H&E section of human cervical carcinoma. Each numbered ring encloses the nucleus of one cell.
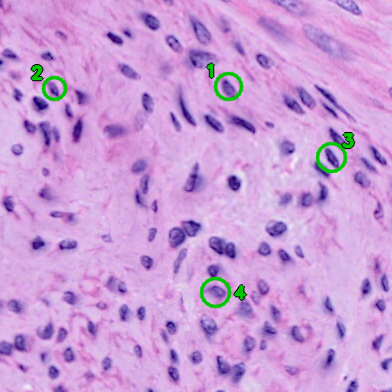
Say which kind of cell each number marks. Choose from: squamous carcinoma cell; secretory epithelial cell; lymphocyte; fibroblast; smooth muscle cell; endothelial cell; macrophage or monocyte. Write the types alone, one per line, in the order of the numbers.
smooth muscle cell
smooth muscle cell
fibroblast
smooth muscle cell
